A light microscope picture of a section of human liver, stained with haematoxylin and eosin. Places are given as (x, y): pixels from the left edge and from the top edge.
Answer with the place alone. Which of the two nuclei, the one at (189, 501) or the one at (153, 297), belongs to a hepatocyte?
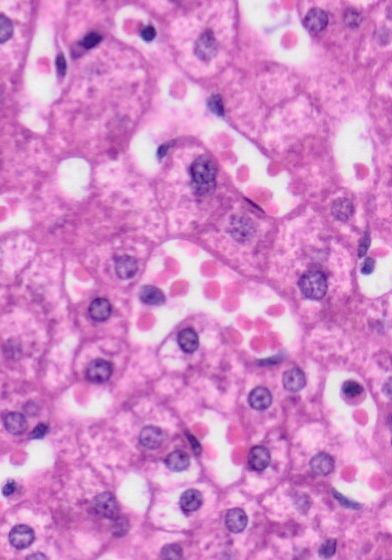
(189, 501)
